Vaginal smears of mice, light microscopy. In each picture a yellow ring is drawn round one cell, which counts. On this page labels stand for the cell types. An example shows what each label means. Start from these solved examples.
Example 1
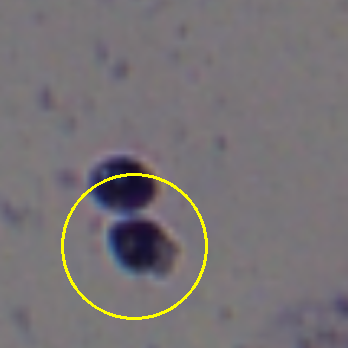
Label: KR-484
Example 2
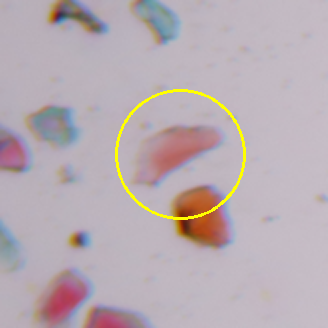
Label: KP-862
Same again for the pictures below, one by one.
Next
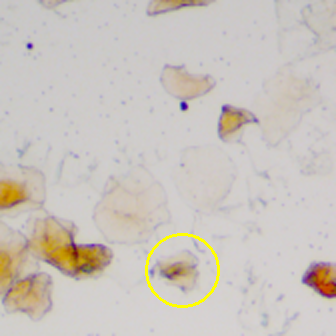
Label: KP-862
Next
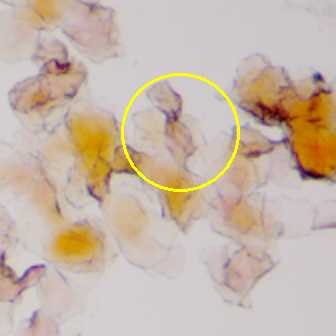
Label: KP-862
